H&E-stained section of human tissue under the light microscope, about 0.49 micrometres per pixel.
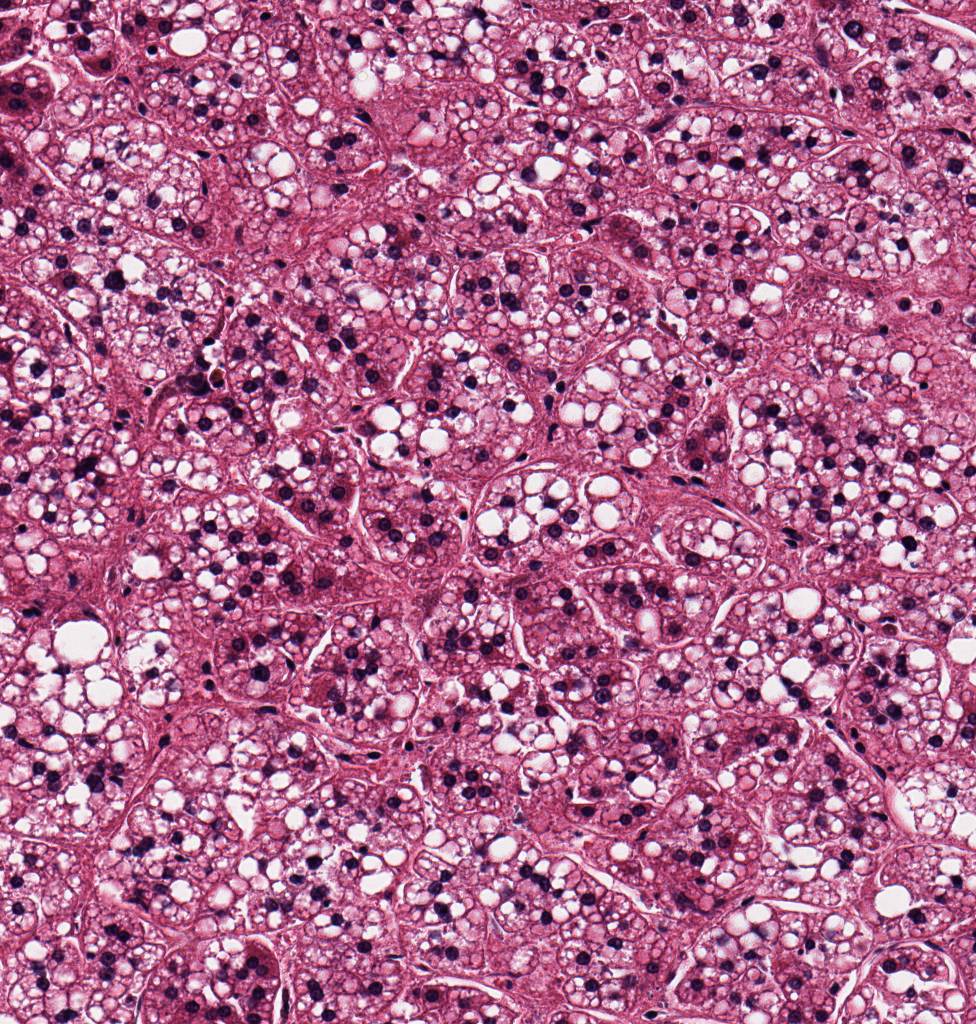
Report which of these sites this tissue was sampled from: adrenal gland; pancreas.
adrenal gland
